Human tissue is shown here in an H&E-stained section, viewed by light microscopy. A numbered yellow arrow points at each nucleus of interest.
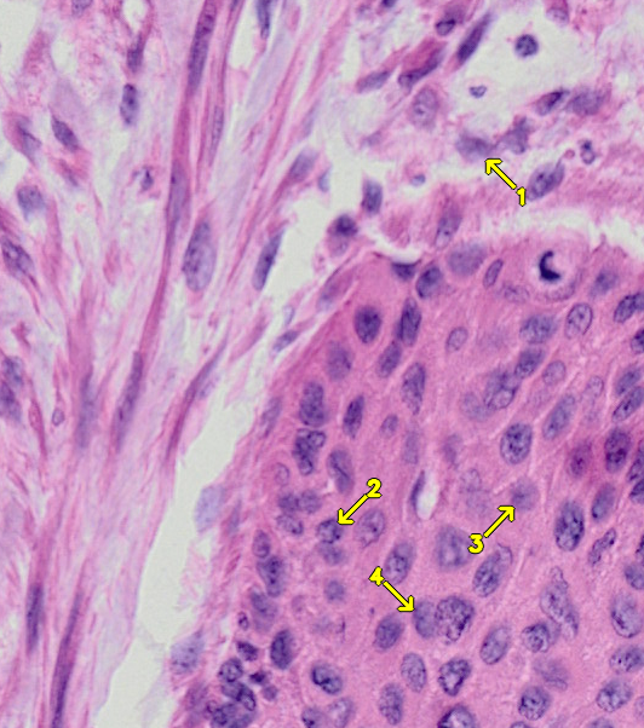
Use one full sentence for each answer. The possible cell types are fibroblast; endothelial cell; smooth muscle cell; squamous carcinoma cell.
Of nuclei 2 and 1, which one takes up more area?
At about 1.5 times the area of nucleus 2, nucleus 1 is the larger of the two.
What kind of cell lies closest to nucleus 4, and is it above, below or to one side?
It is a squamous carcinoma cell, whose nucleus lies to the right of nucleus 4.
